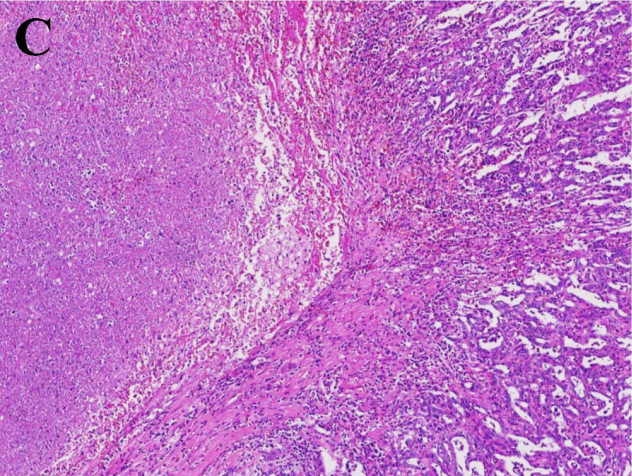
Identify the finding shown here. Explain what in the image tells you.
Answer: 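The left part is a broad pale pink area without clear tissue structure. A band of loose, hemorrhagic-looking tissue separates it from the viable tumor on the right. That points to this answer: necrosis.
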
